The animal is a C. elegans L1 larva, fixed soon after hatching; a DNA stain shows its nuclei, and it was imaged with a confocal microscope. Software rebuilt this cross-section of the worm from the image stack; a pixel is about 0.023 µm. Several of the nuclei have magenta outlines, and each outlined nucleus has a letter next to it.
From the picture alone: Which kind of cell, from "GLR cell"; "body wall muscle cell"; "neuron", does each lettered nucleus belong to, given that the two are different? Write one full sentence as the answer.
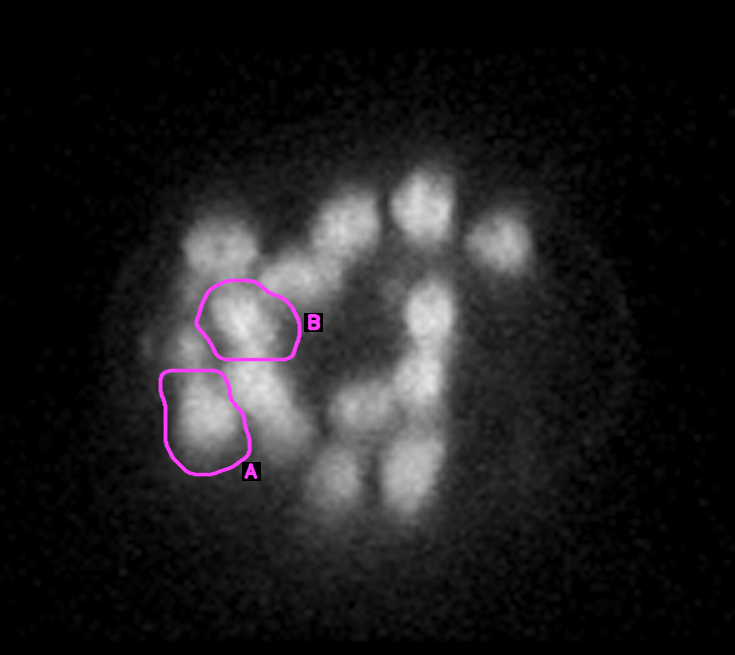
The nucleus A is that of a neuron, while B is that of a GLR cell.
